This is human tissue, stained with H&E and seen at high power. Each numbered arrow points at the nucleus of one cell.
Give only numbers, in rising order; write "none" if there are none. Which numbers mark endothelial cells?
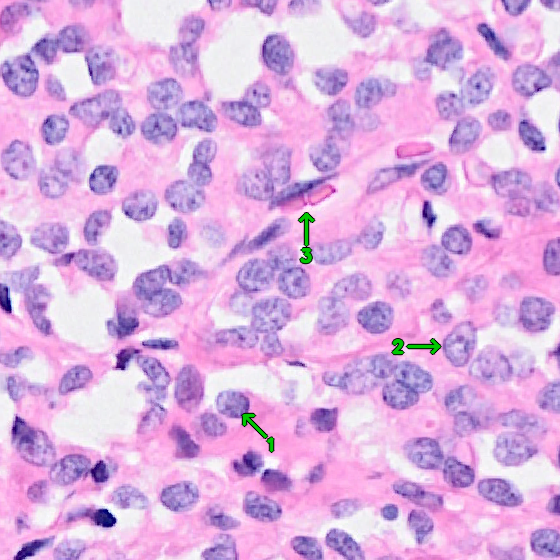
3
